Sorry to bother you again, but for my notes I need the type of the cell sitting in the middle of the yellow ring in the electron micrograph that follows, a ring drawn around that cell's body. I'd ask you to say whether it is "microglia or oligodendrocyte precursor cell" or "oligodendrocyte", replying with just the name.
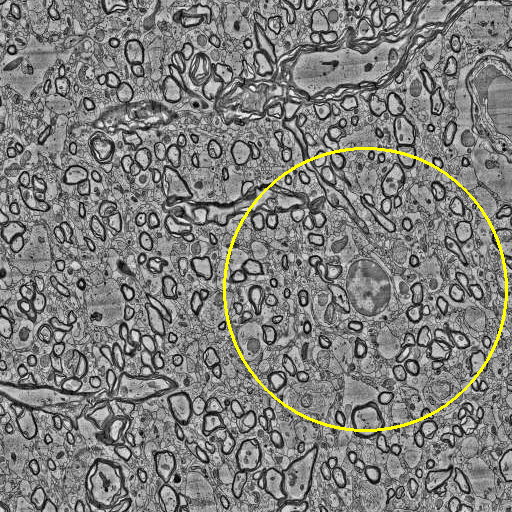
microglia or oligodendrocyte precursor cell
